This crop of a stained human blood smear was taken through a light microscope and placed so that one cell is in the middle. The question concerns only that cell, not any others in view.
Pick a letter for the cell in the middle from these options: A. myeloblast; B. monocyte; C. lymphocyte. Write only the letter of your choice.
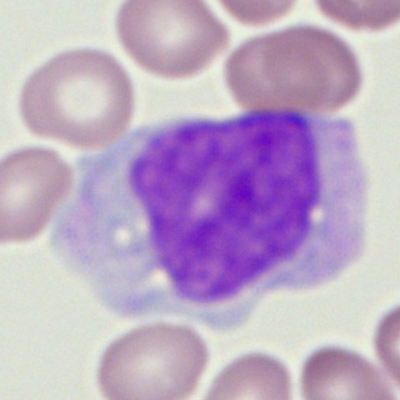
B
